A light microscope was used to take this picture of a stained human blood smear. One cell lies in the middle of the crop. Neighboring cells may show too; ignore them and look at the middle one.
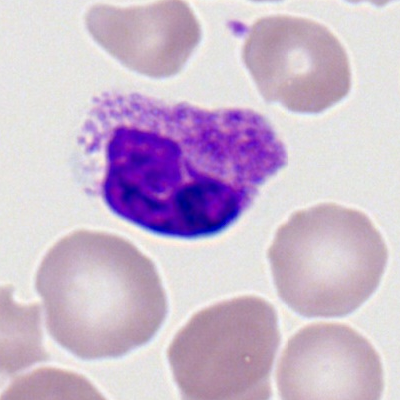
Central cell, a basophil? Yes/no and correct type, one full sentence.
Yes, the middle cell is classified as a basophil.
